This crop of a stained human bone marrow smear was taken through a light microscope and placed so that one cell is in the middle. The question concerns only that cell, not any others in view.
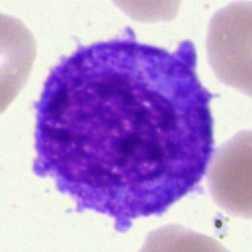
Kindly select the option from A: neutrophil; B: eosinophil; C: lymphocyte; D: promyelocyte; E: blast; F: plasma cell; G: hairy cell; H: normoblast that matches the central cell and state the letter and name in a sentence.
The centered cell is a promyelocyte, which is why option D is right.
